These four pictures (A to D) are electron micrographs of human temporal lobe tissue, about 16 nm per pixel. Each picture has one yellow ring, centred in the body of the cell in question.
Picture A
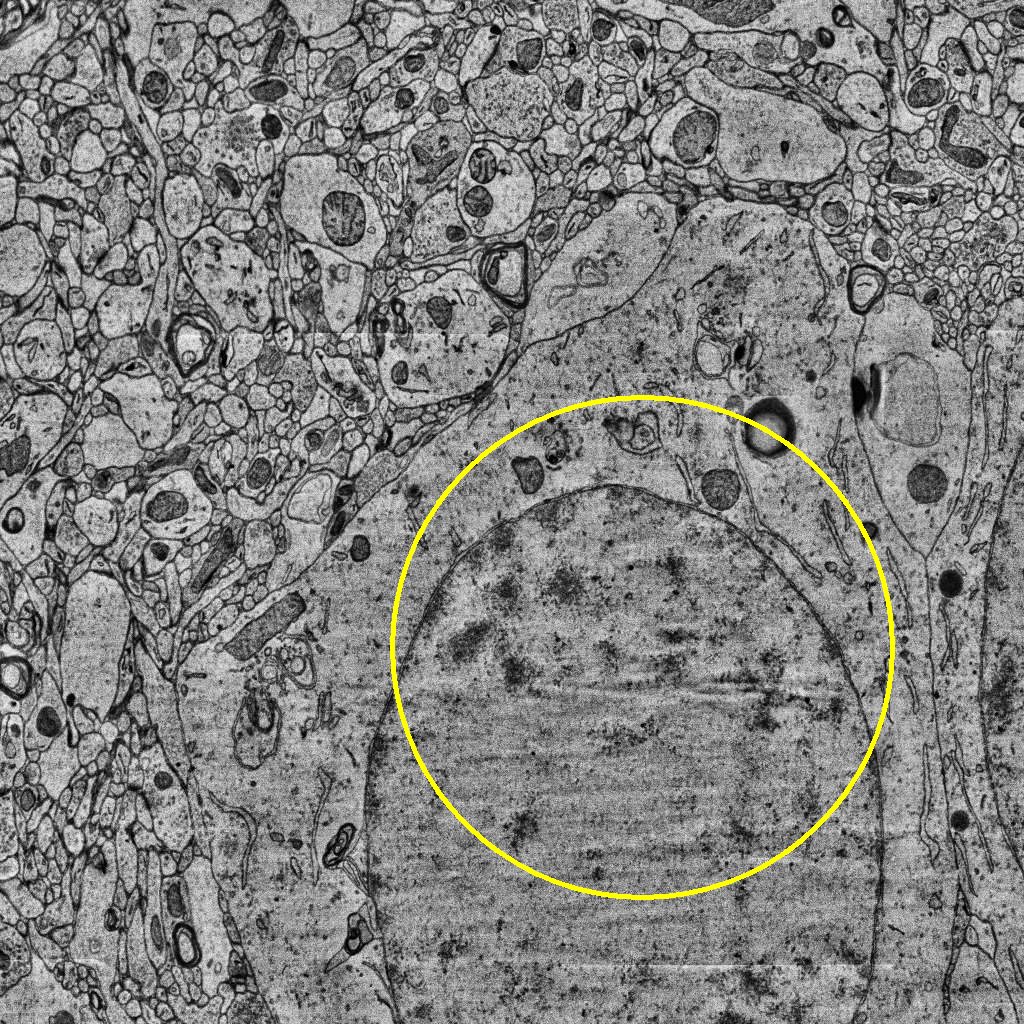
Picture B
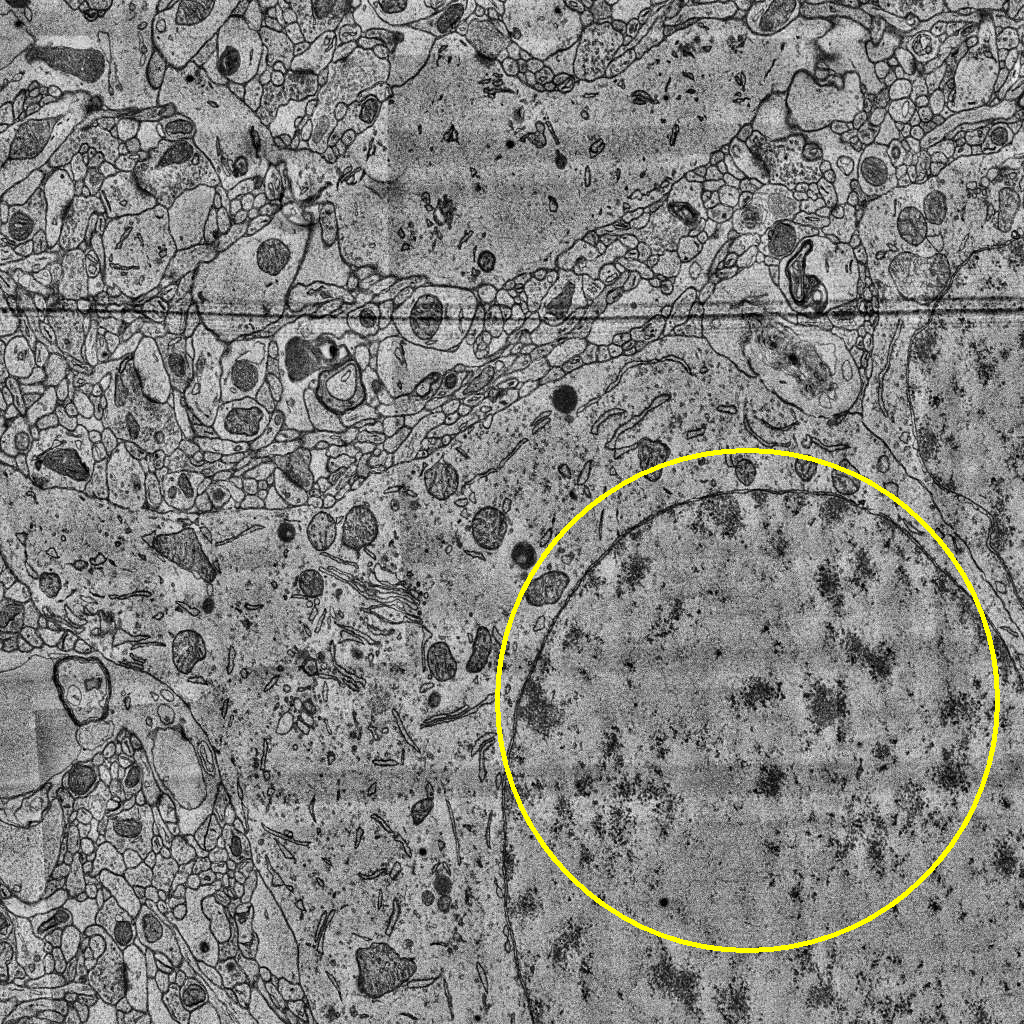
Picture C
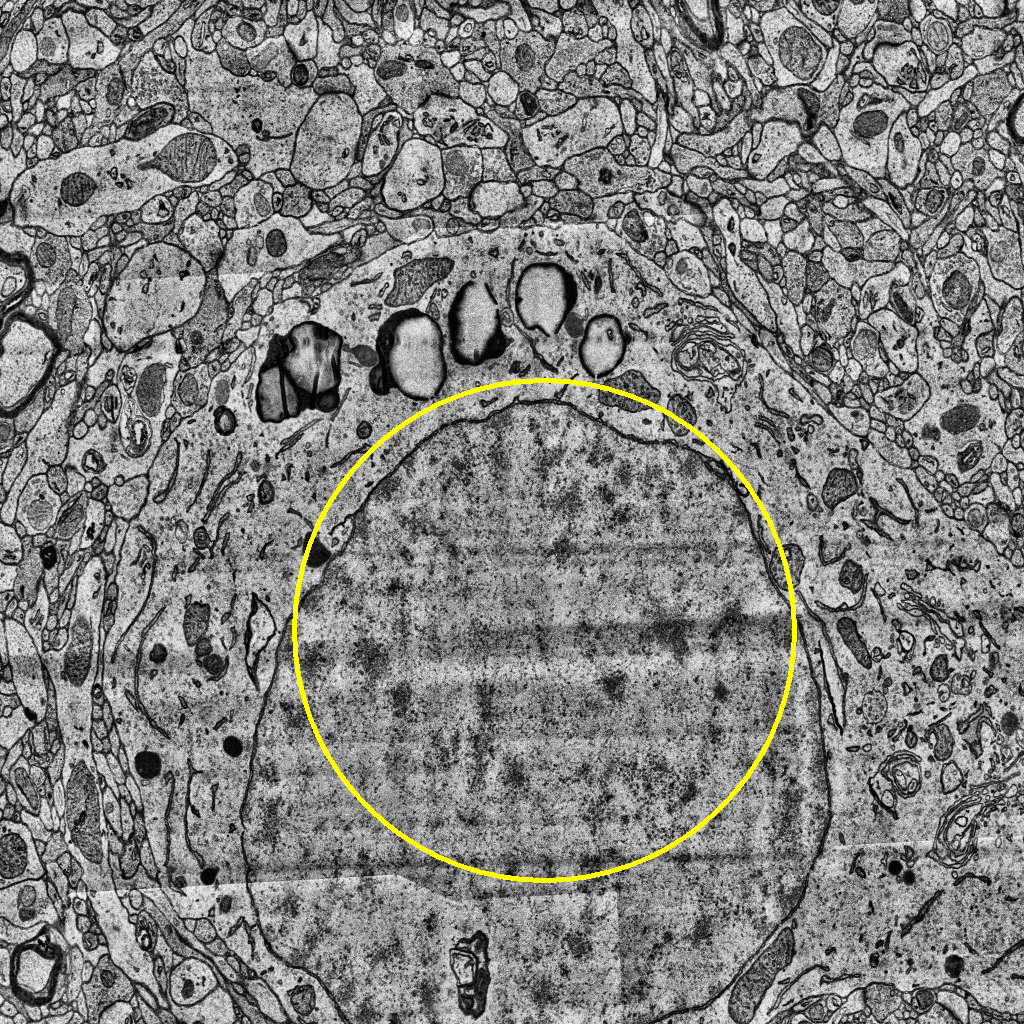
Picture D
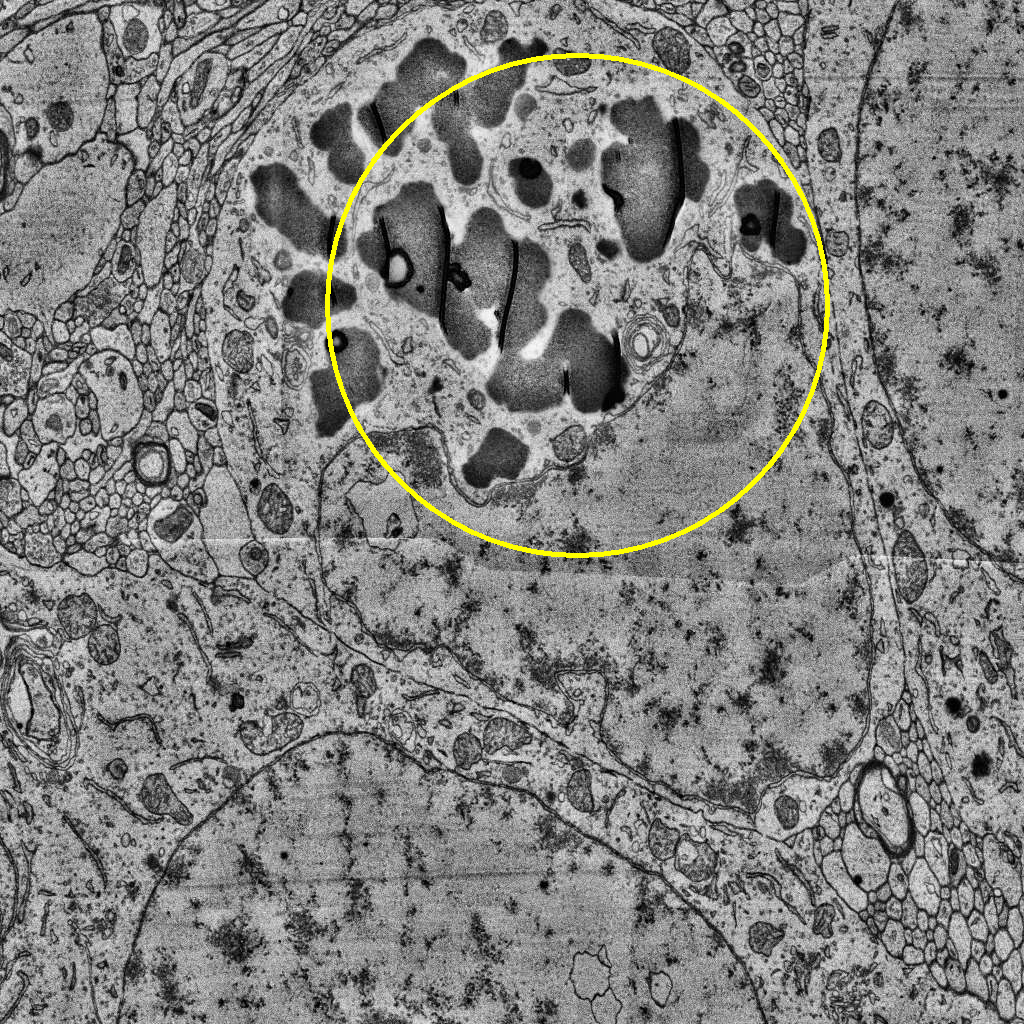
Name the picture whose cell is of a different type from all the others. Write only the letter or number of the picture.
D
